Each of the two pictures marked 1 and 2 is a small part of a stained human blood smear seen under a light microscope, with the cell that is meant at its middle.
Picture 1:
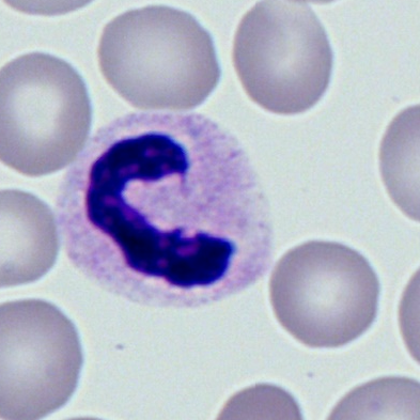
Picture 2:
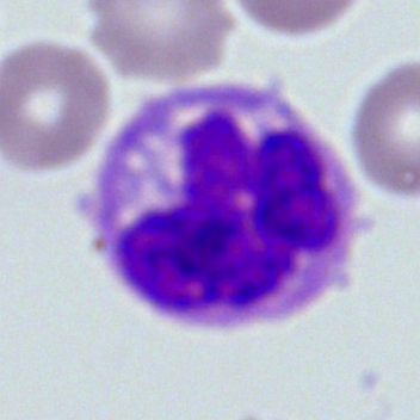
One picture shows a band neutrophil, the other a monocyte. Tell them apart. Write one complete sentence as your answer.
Picture 2 shows a monocyte, while picture 1 shows a band neutrophil.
